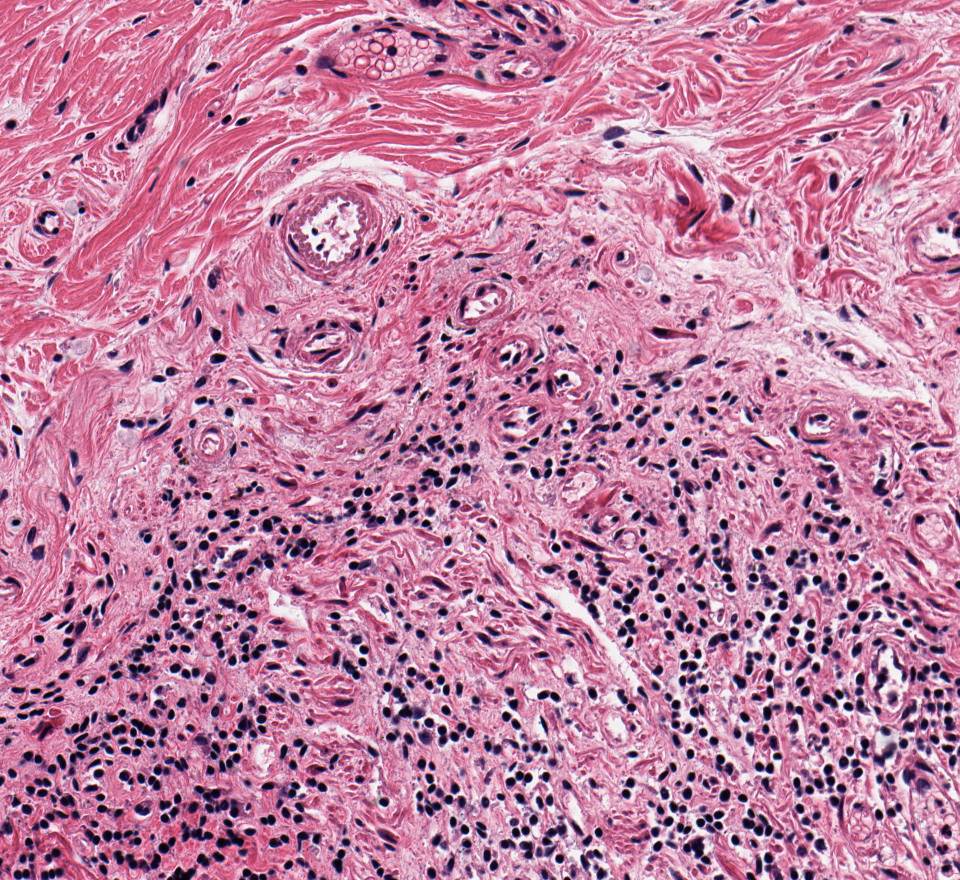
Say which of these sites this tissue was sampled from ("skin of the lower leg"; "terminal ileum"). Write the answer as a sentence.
The site this tissue was sampled from is the terminal ileum.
